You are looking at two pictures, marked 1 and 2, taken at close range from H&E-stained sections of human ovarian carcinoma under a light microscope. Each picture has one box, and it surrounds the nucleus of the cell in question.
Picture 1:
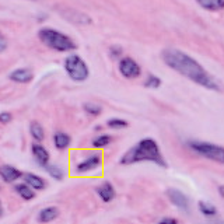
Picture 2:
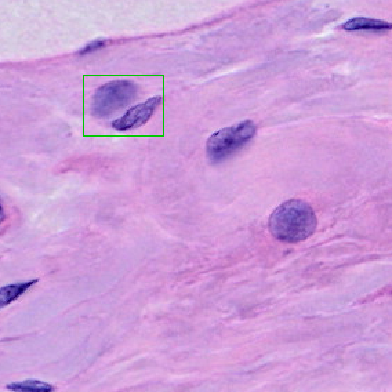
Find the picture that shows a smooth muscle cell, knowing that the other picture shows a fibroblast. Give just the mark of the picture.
1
